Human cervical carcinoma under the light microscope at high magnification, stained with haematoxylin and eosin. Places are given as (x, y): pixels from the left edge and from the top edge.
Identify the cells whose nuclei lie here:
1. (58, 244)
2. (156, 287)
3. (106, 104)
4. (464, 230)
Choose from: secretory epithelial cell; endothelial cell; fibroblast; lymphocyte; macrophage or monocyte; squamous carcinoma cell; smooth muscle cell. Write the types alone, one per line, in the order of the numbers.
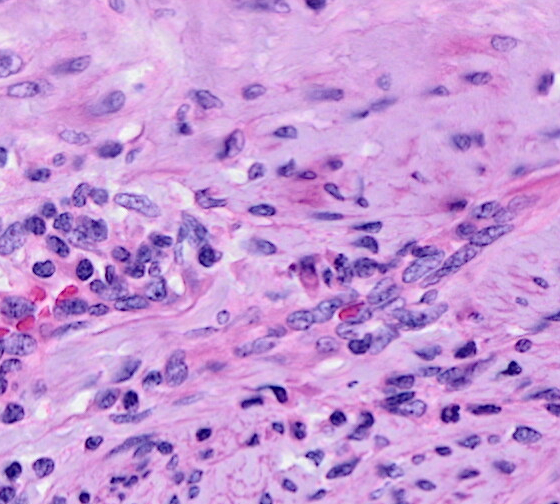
lymphocyte
endothelial cell
smooth muscle cell
endothelial cell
